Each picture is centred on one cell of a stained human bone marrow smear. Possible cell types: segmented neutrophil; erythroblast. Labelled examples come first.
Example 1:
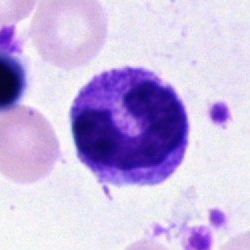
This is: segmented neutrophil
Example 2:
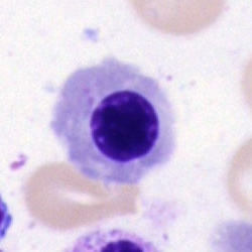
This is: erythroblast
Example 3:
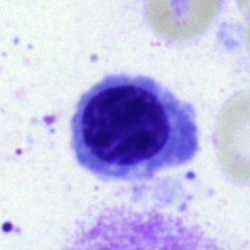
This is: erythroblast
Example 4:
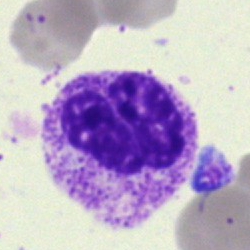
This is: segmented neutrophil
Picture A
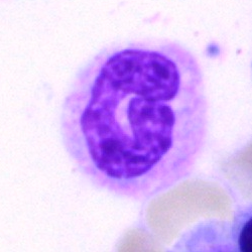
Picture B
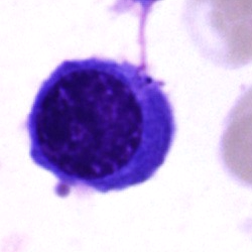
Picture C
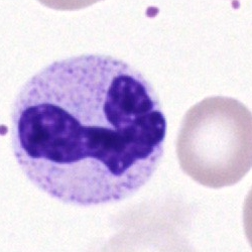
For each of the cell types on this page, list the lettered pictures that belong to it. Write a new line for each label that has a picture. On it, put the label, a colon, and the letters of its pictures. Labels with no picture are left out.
segmented neutrophil: A, C
erythroblast: B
